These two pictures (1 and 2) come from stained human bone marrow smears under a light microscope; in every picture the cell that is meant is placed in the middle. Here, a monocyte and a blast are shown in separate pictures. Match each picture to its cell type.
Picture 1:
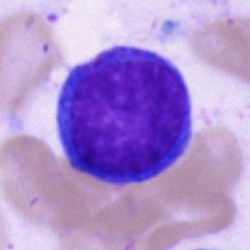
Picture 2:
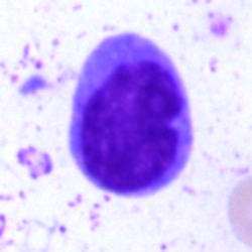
1: blast
2: monocyte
